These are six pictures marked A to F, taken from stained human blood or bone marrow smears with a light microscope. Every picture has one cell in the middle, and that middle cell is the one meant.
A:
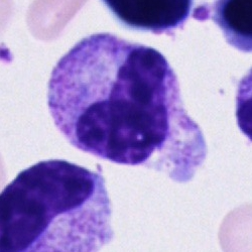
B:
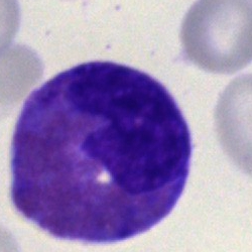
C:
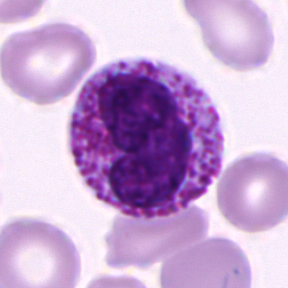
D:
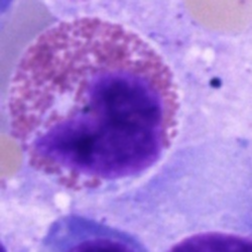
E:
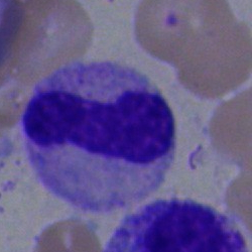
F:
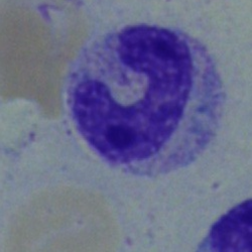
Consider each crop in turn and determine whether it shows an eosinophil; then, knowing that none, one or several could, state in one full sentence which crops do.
The cells at the centre of crops B, C and D represent eosinophils.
